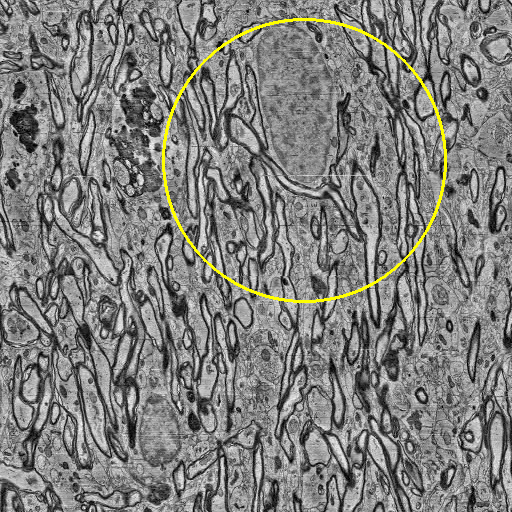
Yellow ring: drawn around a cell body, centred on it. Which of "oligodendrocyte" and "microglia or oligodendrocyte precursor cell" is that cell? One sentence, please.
That cell body is from an oligodendrocyte.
